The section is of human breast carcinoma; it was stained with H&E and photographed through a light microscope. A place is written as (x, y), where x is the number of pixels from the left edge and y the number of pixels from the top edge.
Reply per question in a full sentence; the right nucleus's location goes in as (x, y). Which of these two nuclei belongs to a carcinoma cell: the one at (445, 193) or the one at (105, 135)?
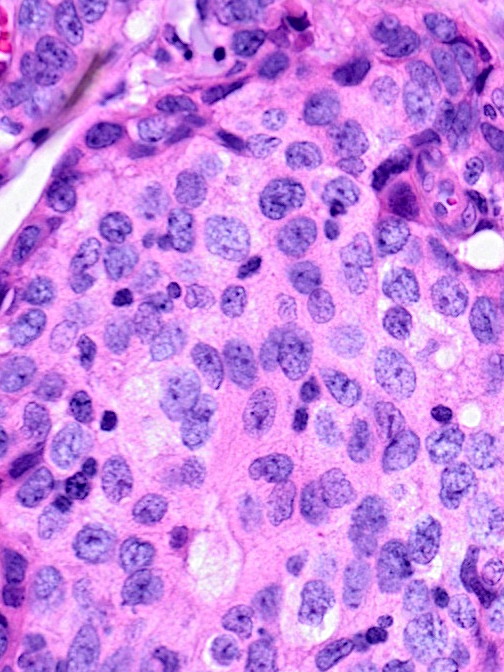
That would be the nucleus at (105, 135); it belongs to a carcinoma cell.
